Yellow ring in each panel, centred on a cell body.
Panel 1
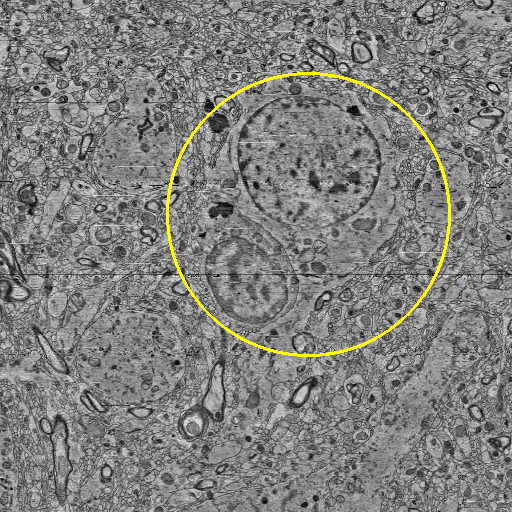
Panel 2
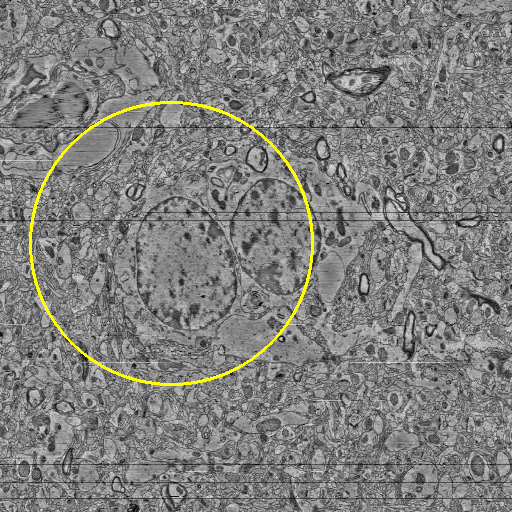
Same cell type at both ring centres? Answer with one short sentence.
Yes, both cells are of the same type.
